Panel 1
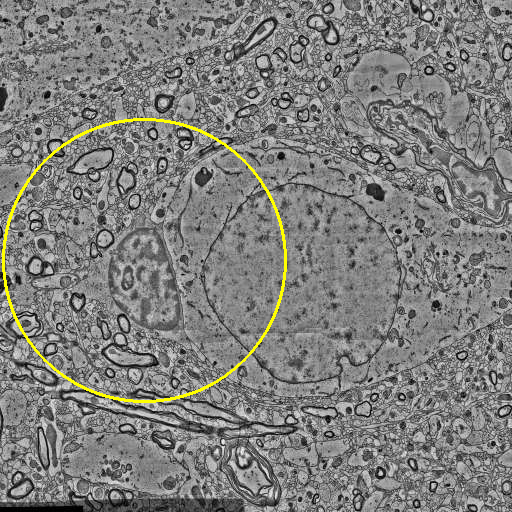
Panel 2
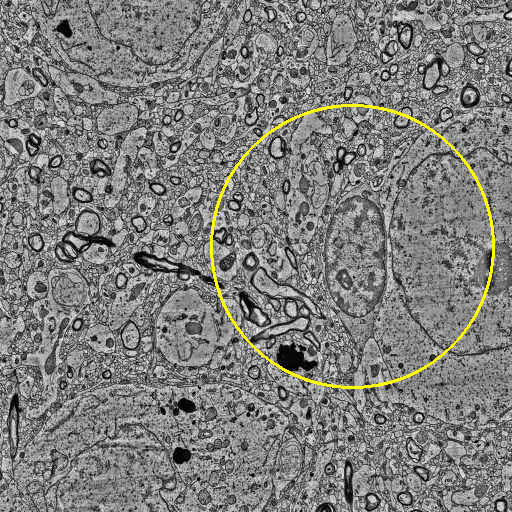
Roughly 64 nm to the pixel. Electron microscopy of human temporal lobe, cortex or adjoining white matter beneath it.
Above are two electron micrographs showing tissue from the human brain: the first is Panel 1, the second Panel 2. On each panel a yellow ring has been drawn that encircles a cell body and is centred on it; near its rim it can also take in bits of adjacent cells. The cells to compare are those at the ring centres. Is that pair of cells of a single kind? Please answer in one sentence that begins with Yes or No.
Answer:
Yes, the ring-centred cells of Panel 1 and Panel 2 belong to one kind.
